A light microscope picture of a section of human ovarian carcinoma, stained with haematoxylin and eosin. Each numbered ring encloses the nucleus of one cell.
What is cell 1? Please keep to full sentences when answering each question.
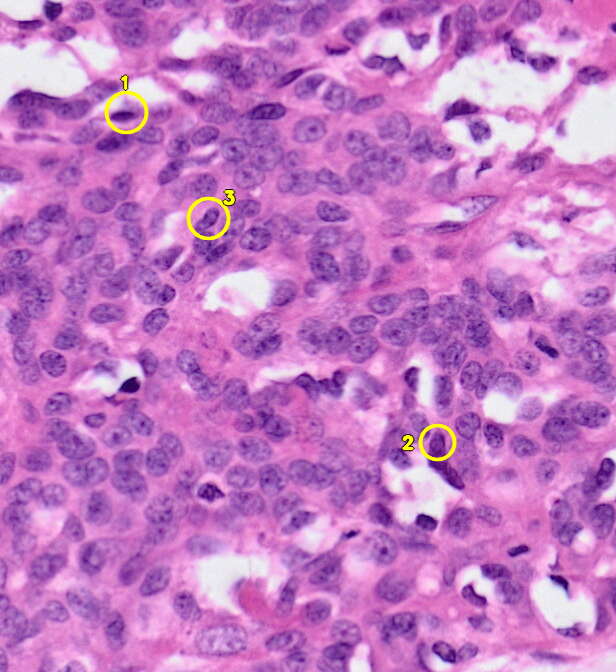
The cell numbered 1 represents a carcinoma cell.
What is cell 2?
Heads up, the cell numbered 2 is a carcinoma cell.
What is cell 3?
The cell referenced by the number 3 is a macrophage or monocyte in this field.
